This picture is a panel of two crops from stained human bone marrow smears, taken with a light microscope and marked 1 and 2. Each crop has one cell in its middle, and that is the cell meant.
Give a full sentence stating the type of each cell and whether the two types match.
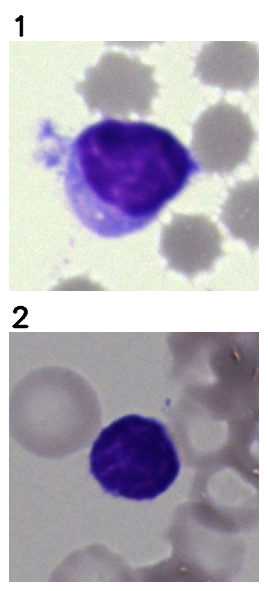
Yes, the middle cells in both crops are indeed lymphocytes.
